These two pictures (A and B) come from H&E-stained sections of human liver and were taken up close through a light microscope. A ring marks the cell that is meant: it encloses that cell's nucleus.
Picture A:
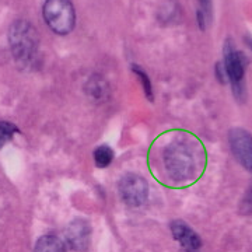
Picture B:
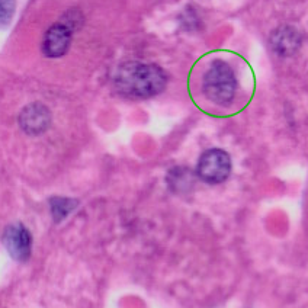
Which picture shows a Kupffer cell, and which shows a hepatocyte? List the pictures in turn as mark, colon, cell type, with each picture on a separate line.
A: hepatocyte
B: Kupffer cell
